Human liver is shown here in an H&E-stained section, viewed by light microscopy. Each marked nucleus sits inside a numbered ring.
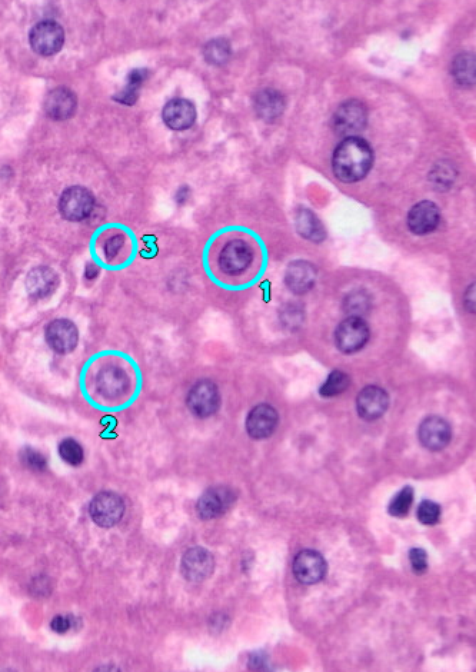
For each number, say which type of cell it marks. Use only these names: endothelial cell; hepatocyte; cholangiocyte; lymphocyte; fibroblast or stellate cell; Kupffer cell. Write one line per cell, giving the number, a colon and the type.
1: hepatocyte
2: hepatocyte
3: fibroblast or stellate cell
